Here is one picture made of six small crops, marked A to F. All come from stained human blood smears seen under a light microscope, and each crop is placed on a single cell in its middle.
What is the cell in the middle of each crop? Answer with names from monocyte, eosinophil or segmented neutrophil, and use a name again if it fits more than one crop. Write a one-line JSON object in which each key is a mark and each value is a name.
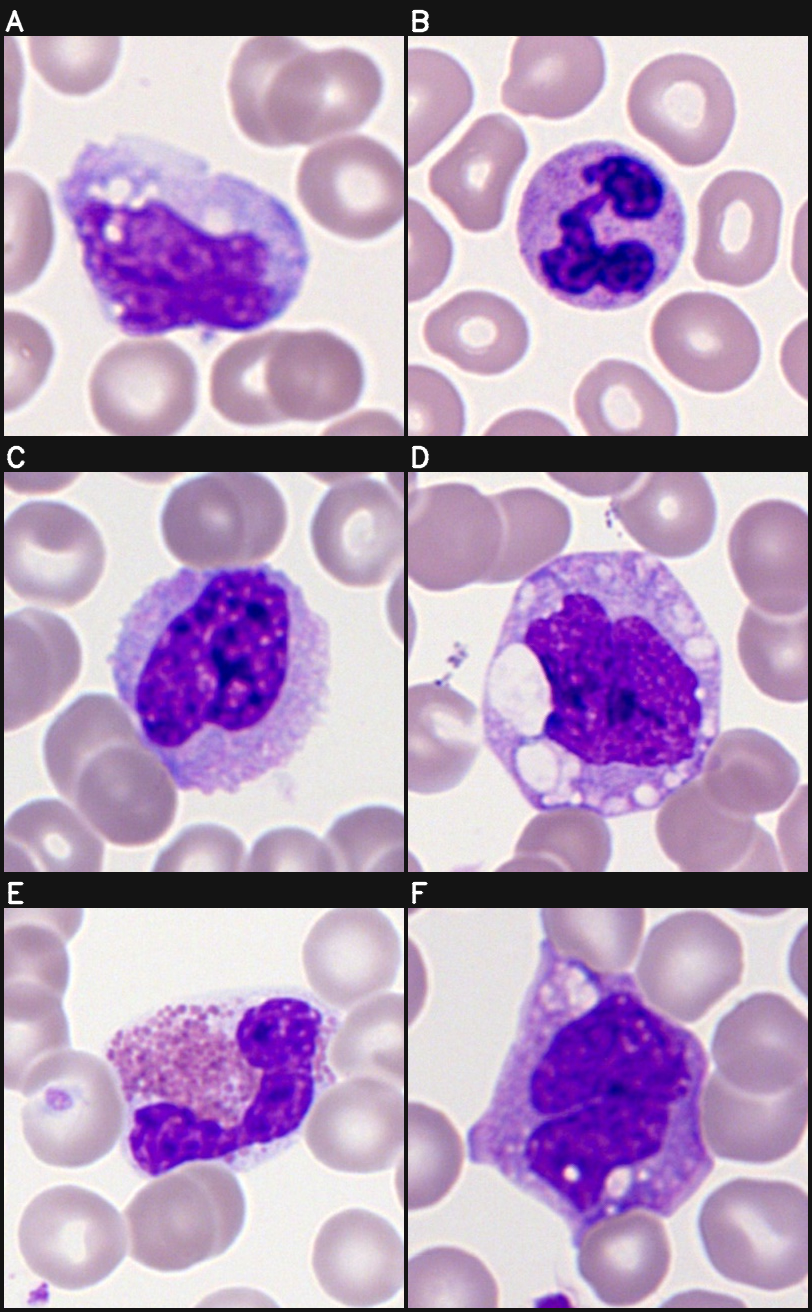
{"A": "monocyte", "B": "segmented neutrophil", "C": "monocyte", "D": "monocyte", "E": "eosinophil", "F": "monocyte"}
